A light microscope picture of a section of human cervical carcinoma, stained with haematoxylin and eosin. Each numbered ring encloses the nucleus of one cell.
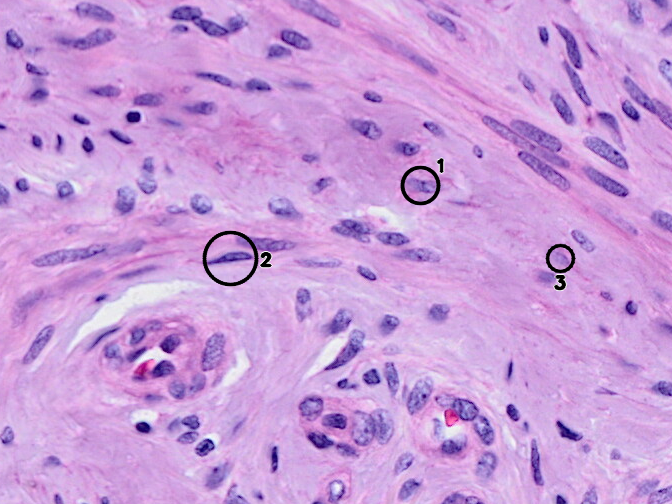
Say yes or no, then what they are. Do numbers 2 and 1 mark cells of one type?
No, cell 2 is a fibroblast, and cell 1 is, by contrast, a smooth muscle cell.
